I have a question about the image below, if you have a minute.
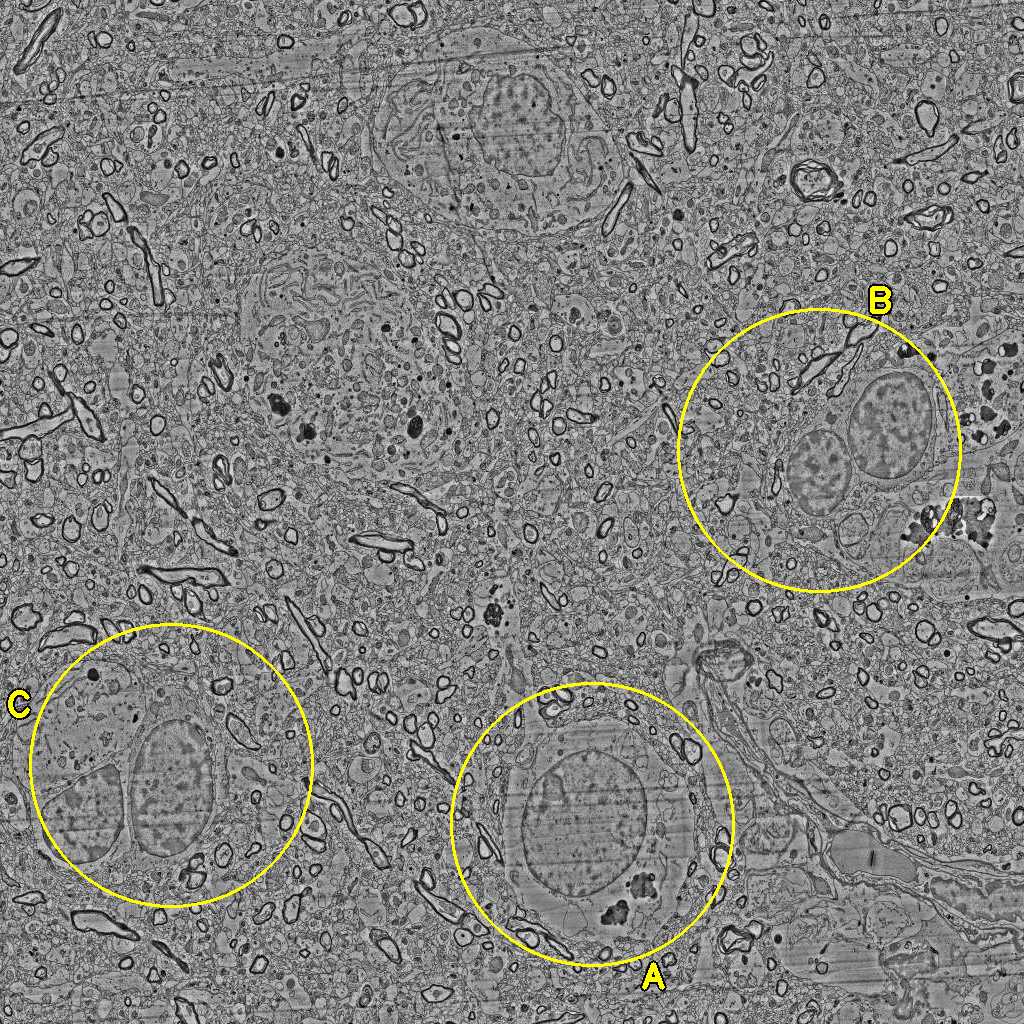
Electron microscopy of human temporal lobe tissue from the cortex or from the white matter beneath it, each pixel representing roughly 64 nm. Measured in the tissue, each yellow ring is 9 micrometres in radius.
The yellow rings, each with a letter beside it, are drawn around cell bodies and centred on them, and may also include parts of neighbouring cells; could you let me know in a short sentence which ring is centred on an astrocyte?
Ring A is centred on it.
